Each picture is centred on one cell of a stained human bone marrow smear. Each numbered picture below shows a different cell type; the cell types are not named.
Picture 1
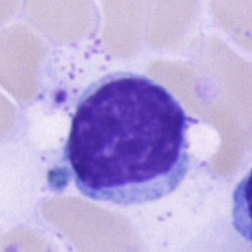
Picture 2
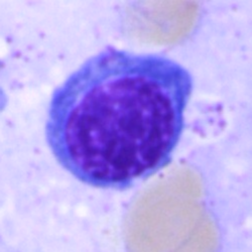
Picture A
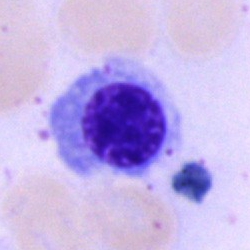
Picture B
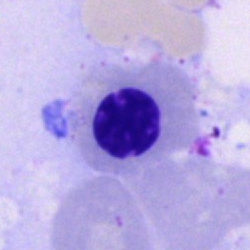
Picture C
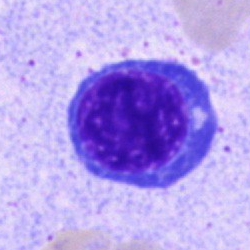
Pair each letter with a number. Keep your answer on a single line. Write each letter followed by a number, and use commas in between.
A 2, B 2, C 2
